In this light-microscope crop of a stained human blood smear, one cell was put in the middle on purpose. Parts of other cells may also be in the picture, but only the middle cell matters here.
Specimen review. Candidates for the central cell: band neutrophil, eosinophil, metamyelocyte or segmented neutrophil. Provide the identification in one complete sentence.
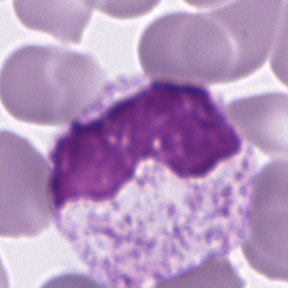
The crop's centre is taken up by a band neutrophil.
